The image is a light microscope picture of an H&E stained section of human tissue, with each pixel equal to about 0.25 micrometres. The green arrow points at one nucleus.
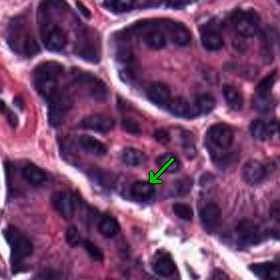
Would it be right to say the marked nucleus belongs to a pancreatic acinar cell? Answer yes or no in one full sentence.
Yes, it is a pancreatic acinar cell that holds the marked nucleus.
